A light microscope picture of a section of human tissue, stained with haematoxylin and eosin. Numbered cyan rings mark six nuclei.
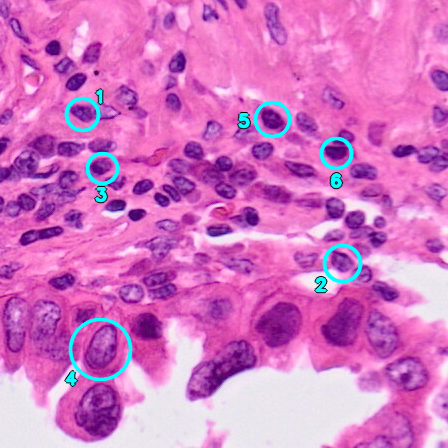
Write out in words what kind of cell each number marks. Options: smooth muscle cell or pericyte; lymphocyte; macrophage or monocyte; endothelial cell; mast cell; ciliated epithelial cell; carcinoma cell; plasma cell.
Cell 1 is a lymphocyte, cell 2 is a lymphocyte, cell 3 is a lymphocyte, cell 4 is a carcinoma cell, cell 5 is a plasma cell and cell 6 is a plasma cell.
